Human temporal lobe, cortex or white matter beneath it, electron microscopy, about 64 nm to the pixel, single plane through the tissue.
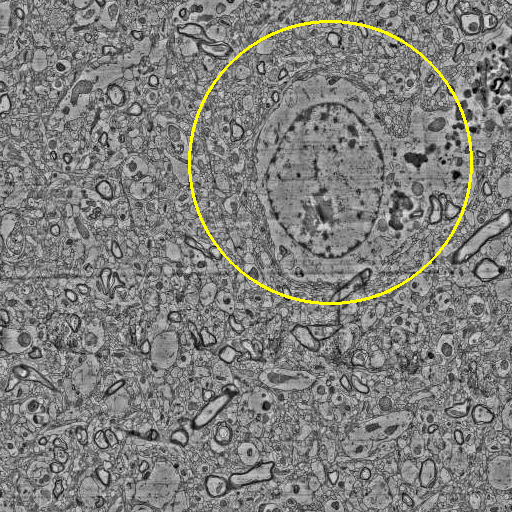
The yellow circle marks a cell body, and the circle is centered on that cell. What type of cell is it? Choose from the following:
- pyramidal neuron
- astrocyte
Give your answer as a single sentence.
This cell body belongs to an astrocyte.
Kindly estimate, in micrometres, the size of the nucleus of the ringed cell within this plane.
In this plane the nucleus measures roughly 10 by 8 micrometers.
